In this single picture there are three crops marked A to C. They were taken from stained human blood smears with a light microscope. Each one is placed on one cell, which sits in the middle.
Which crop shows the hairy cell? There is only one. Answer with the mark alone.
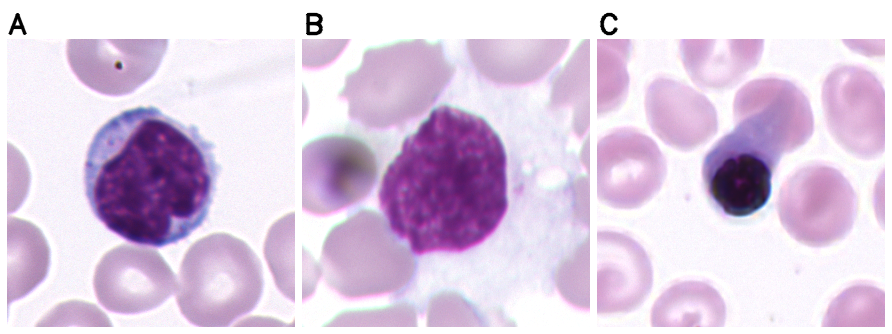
B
